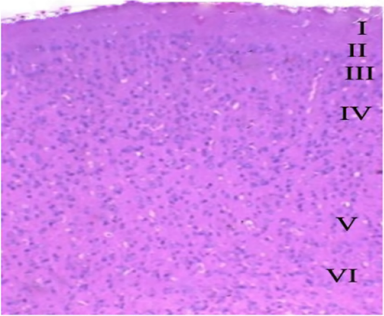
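This section of cerebral cortex shows its typical layered appearance, with bands of cells running parallel to the surface. The outermost band is pale pink and almost free of nuclei, while deeper bands contain many small purple-stained nuclei of neurons and glia set in pink neuropil. Cell density differs from band to band, and small vessels appear as thin clear slits scattered through the tissue.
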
